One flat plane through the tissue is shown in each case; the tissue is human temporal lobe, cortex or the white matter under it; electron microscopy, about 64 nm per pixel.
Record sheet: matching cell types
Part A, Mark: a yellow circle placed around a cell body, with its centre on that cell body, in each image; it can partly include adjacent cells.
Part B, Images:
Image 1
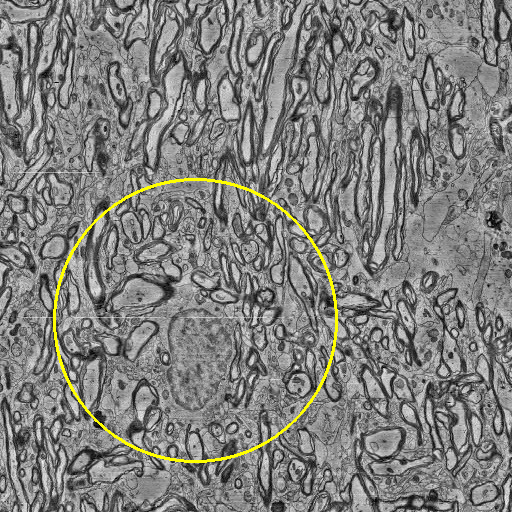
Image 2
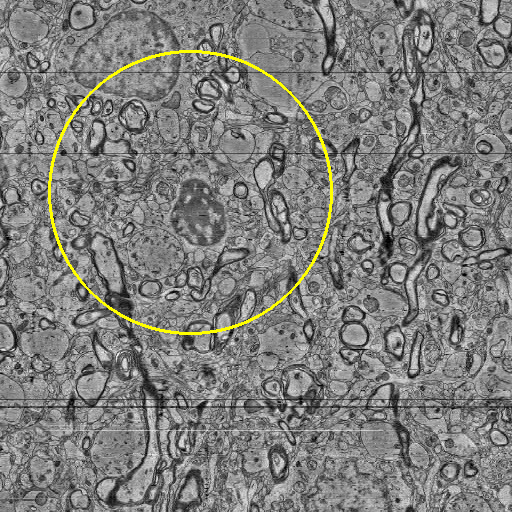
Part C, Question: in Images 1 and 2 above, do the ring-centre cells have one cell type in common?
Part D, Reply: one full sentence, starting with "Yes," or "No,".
No, the ring-centre cells of Image 1 and Image 2 are each of a separate cell type.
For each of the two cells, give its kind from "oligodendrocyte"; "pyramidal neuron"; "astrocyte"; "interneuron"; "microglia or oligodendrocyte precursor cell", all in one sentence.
The first picture has an oligodendrocyte in its ring, the second has a microglial cell or oligodendrocyte precursor cell.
